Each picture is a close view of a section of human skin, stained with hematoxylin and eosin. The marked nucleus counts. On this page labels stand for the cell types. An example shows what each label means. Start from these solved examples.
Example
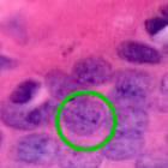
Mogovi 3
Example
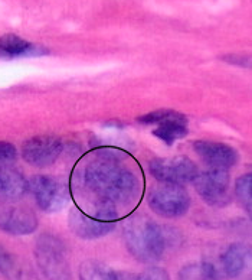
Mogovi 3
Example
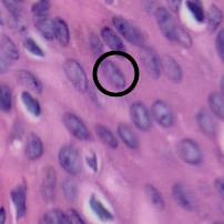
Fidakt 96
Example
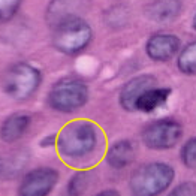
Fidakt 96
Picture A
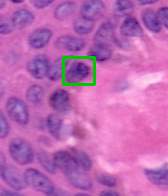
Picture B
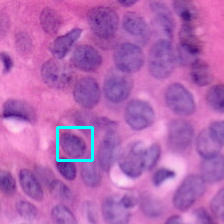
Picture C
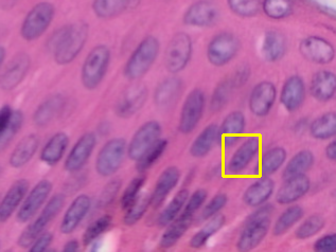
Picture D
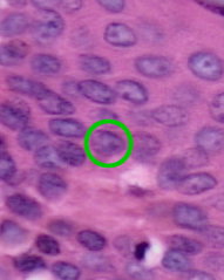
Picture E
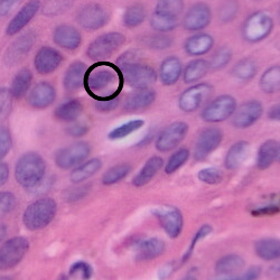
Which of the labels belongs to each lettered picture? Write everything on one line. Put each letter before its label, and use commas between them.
A Mogovi 3, B Mogovi 3, C Fidakt 96, D Mogovi 3, E Mogovi 3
